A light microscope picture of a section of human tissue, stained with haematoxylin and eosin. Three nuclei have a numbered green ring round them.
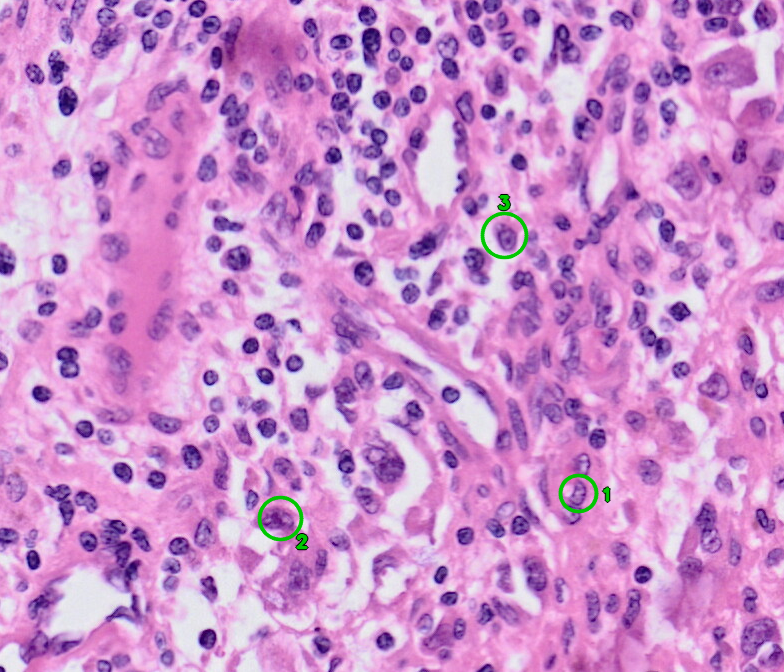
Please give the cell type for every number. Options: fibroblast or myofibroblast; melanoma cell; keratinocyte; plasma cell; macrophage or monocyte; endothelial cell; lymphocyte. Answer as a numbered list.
1. endothelial cell
2. melanoma cell
3. macrophage or monocyte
